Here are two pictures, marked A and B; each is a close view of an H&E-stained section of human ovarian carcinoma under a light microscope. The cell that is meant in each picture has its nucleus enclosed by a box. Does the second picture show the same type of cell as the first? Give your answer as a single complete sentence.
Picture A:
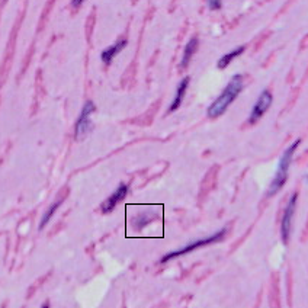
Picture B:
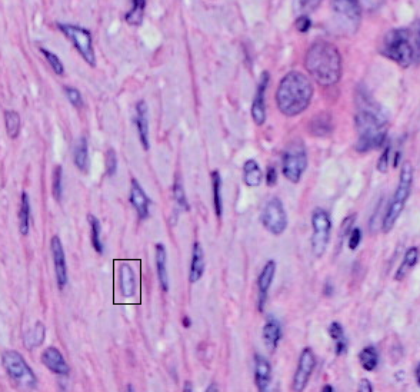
Yes; the cells in both pictures are fibroblasts.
